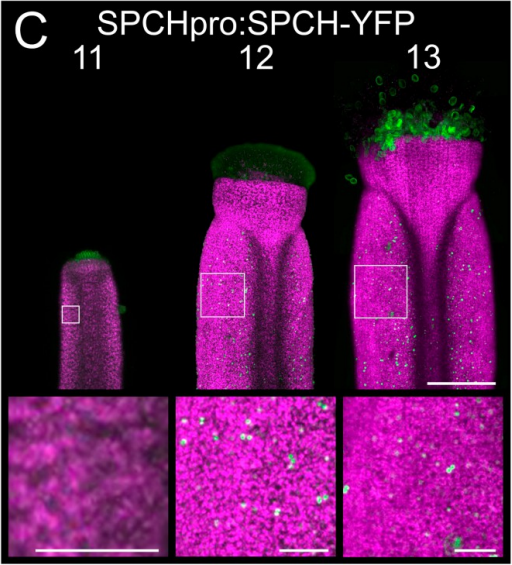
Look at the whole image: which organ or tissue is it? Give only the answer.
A: Gynoecia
